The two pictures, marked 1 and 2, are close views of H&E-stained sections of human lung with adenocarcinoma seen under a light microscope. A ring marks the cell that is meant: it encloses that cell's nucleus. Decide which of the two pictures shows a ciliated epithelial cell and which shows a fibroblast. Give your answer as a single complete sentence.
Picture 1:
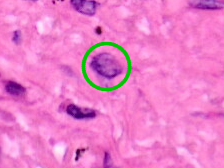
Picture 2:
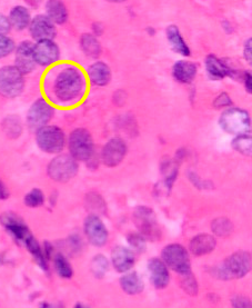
In picture 1 the cell is a fibroblast; in picture 2, a ciliated epithelial cell.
